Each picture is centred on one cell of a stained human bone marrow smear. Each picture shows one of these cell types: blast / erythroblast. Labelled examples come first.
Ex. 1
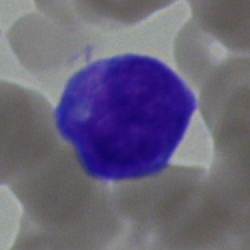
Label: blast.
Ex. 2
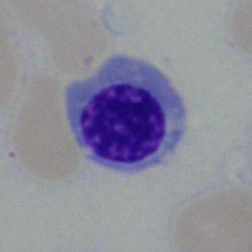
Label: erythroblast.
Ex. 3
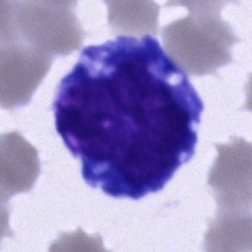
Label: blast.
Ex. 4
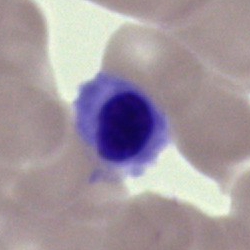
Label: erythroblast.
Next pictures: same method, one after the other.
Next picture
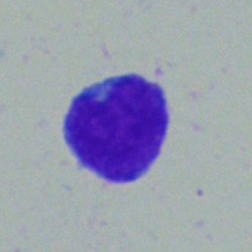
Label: blast.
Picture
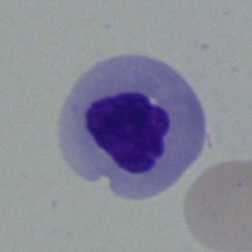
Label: erythroblast.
